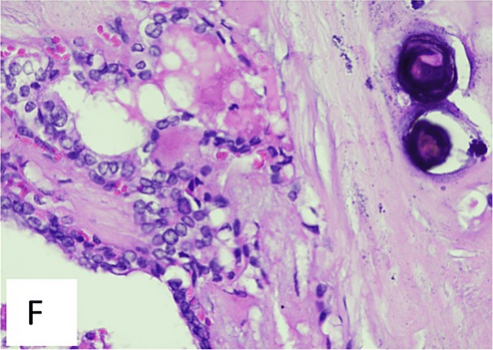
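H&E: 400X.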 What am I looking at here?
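This is a papillary carcinoma of the thyroid seen at high power. On the left, tumour cells line a space and a fibrous core; their oval nuclei are crowded and overlap one another, and their chromatin looks pale and clear rather than dark. Among them lie pale, bubbly pink areas and a few red blood cells. On the right the background is pink, fibrous stroma, and in it sit two round bodies with concentric rings that stain deep purple: these layered calcified bodies are psammoma bodies, a typical companion of this tumour.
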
